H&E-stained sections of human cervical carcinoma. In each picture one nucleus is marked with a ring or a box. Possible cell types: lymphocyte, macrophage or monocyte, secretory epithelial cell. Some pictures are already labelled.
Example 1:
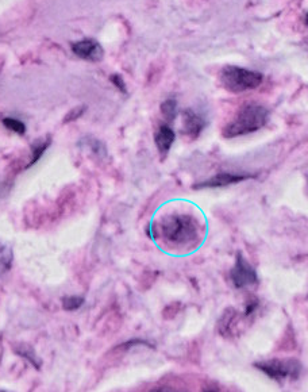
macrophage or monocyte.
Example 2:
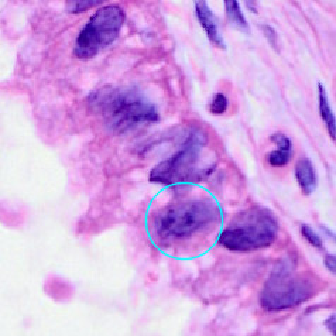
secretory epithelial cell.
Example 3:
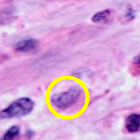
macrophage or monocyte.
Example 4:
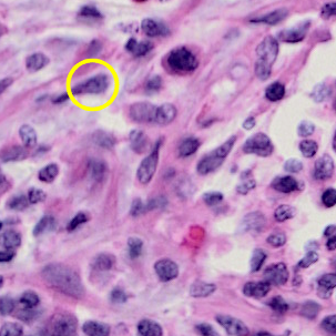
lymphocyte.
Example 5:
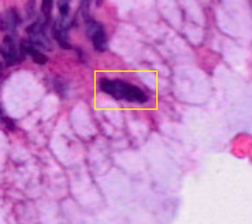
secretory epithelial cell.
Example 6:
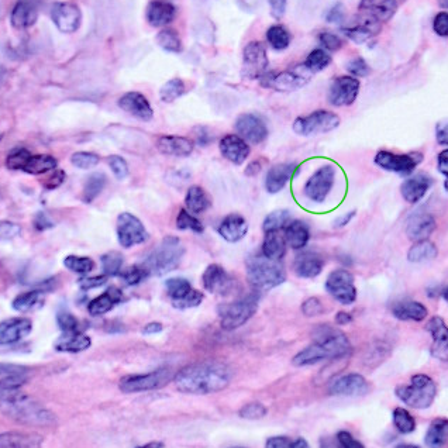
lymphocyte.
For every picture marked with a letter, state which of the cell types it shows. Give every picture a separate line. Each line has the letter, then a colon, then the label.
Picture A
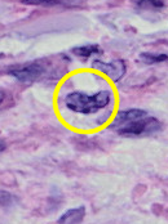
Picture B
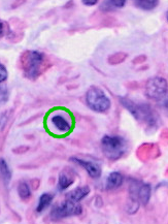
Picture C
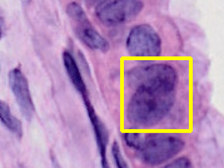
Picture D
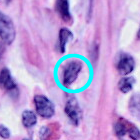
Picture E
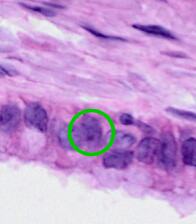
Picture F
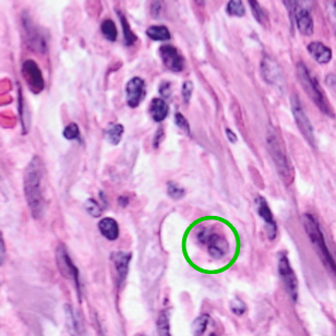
A: lymphocyte.
B: lymphocyte.
C: secretory epithelial cell.
D: lymphocyte.
E: secretory epithelial cell.
F: macrophage or monocyte.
